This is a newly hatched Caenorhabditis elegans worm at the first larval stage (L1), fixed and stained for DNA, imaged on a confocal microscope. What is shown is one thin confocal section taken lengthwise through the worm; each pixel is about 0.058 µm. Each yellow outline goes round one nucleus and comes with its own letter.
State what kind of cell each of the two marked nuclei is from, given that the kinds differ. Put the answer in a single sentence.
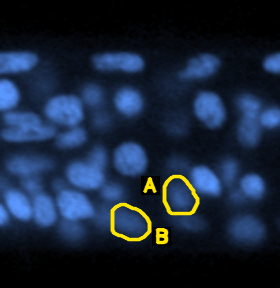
The nucleus A is that of a pharyngeal marginal cell, while B is that of a neuron.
